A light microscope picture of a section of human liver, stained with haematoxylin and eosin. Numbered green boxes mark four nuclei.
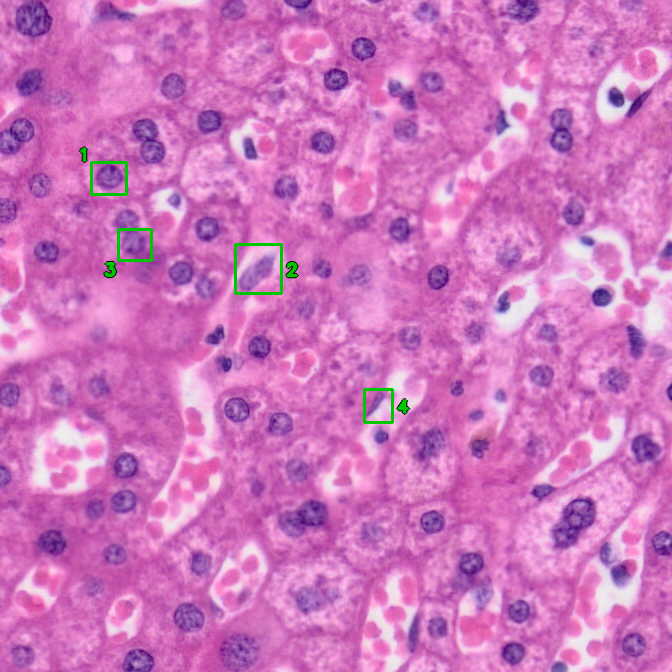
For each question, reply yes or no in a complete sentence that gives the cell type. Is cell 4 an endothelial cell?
Yes, among the marked cells, the one with number 4 is an endothelial cell.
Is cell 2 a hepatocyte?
No, the cell with number 2 is not a hepatocyte but a Kupffer cell.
